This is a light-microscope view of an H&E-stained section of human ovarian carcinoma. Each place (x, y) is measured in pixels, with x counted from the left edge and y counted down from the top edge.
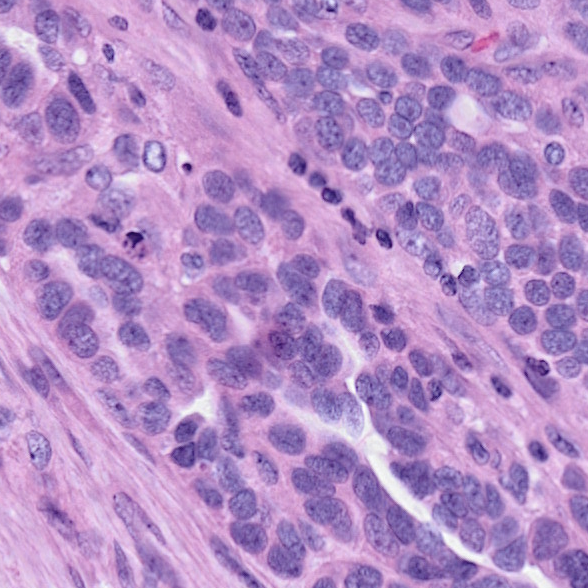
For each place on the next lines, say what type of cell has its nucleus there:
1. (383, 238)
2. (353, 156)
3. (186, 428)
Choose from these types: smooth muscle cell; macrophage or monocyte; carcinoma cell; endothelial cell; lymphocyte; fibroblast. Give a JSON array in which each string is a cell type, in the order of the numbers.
["lymphocyte", "carcinoma cell", "carcinoma cell"]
